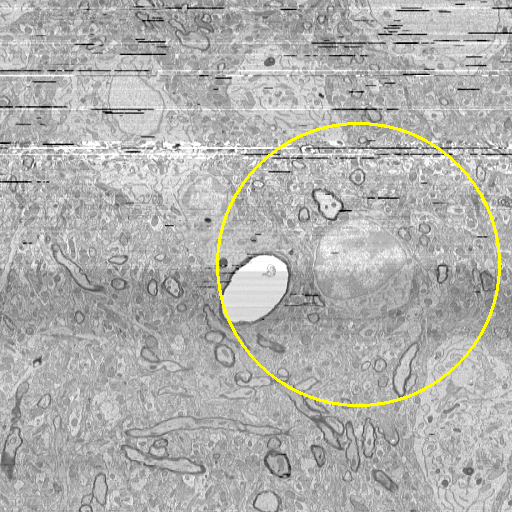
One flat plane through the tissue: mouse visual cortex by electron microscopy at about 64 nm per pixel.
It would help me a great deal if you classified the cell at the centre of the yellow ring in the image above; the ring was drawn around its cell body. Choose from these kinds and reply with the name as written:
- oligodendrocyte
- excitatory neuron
oligodendrocyte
